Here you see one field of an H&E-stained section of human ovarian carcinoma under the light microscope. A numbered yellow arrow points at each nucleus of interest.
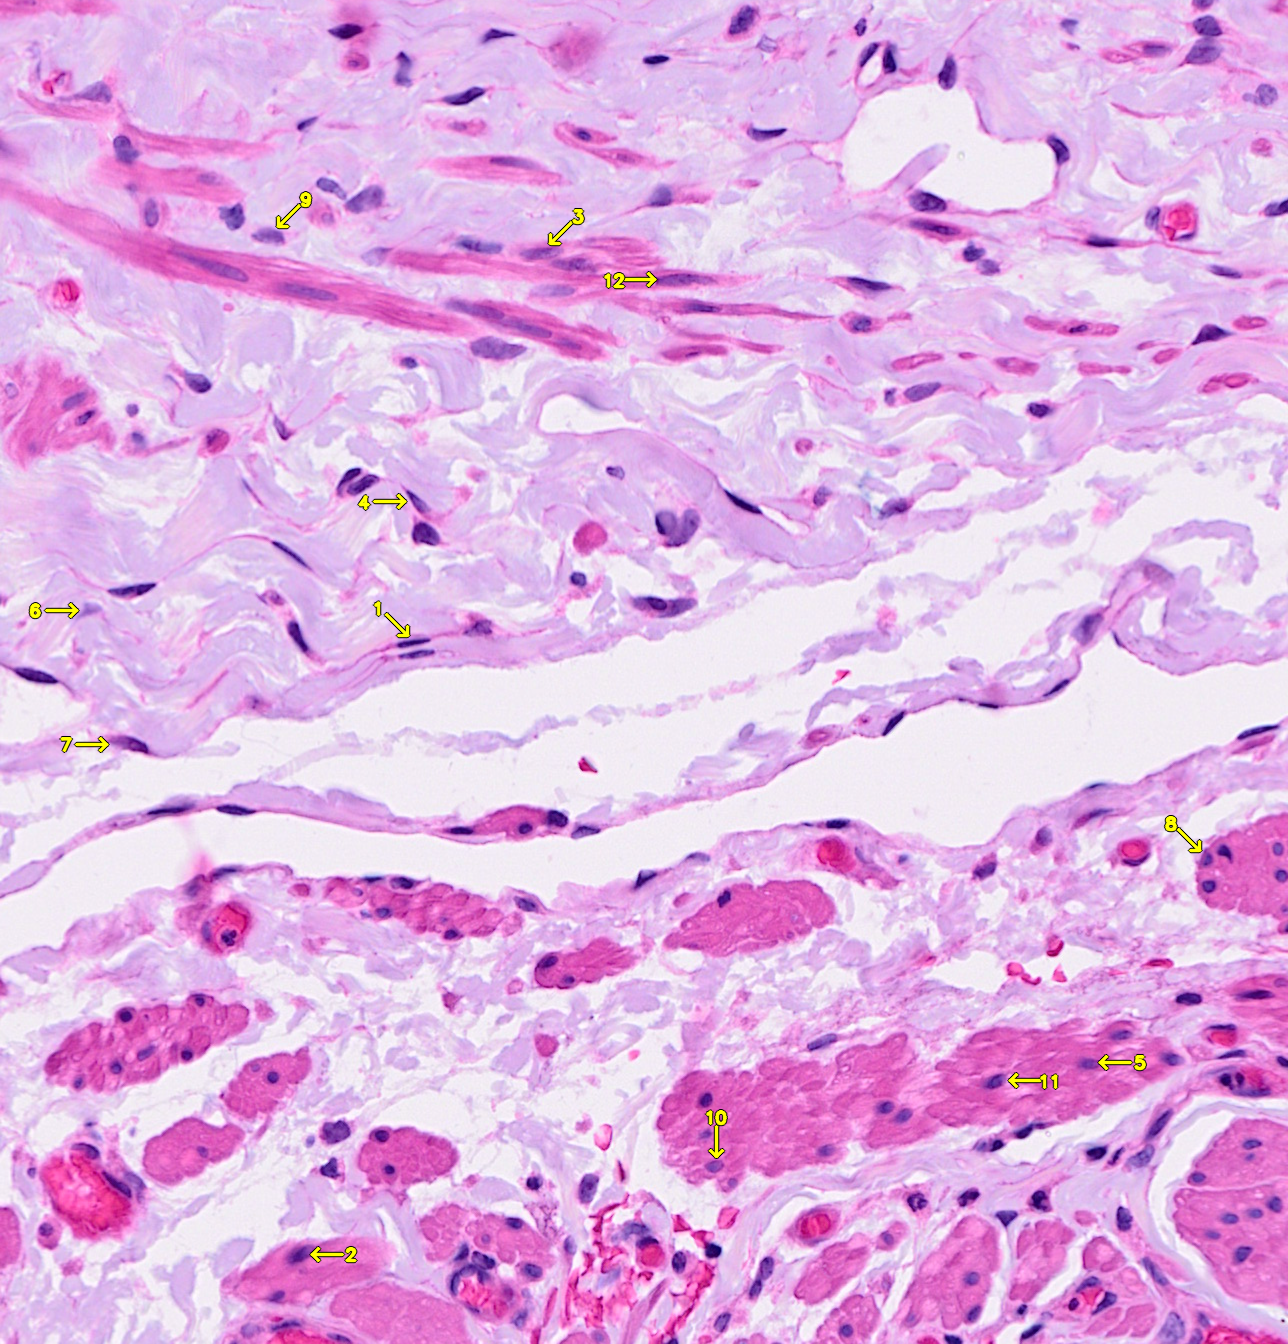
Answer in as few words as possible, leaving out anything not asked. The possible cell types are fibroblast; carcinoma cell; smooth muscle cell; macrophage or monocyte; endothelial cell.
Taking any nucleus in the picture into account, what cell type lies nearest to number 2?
smooth muscle cell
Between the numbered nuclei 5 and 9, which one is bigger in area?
9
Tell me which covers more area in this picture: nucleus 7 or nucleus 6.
7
